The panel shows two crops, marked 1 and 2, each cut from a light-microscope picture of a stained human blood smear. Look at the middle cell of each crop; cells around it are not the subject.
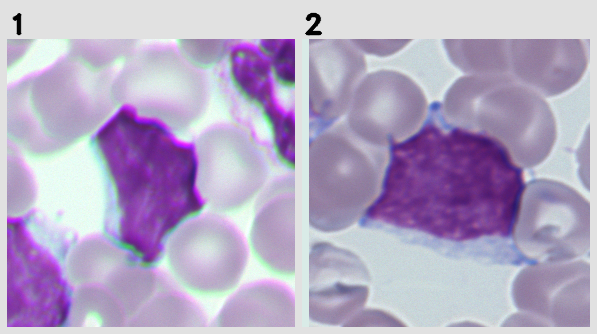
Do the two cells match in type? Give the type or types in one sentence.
Yes, both crops feature typical lymphocytes at the centre.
